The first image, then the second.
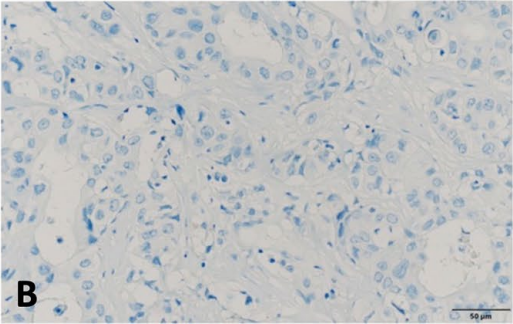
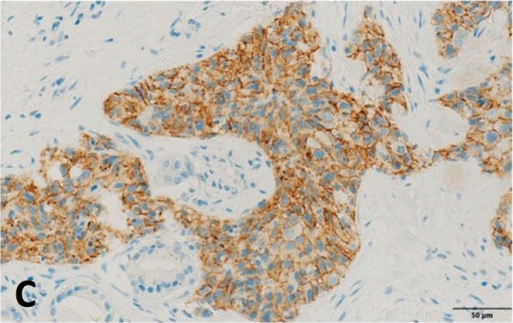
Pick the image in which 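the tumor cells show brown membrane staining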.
The second image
